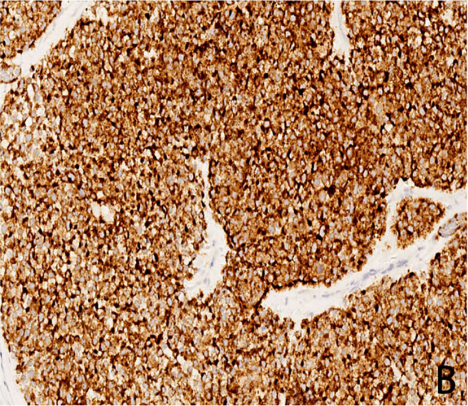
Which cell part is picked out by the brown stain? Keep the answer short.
Cytoplasm.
